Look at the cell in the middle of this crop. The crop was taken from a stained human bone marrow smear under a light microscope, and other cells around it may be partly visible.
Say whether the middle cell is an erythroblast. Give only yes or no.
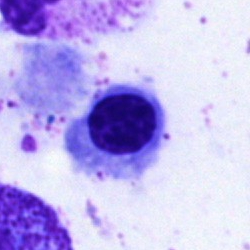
yes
